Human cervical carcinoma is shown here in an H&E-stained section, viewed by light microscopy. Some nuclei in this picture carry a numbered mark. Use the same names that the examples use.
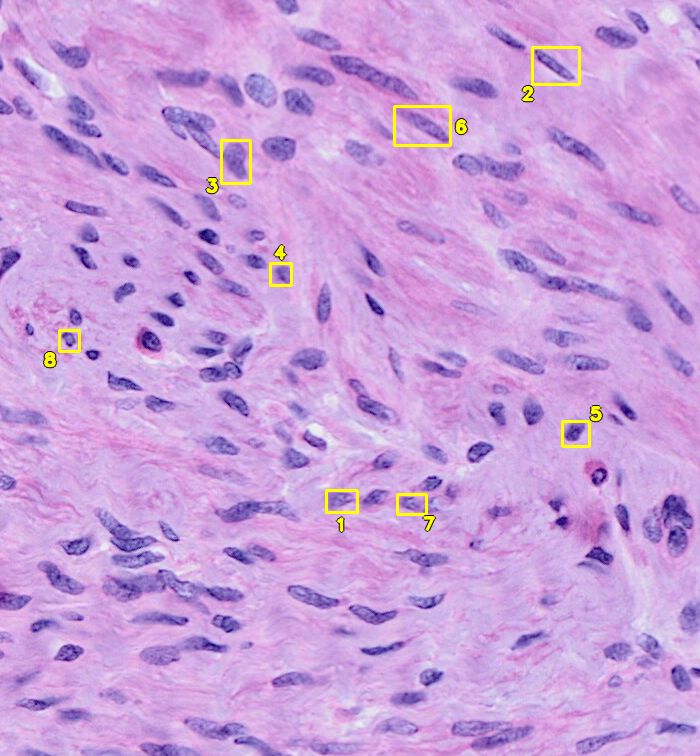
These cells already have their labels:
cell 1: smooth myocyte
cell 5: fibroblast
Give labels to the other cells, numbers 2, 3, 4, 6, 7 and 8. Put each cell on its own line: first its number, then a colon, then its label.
2: fibroblast
3: fibroblast
4: smooth myocyte
6: smooth myocyte
7: smooth myocyte
8: smooth myocyte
